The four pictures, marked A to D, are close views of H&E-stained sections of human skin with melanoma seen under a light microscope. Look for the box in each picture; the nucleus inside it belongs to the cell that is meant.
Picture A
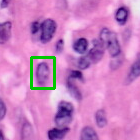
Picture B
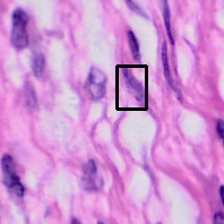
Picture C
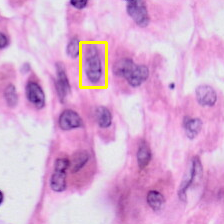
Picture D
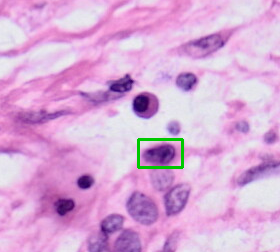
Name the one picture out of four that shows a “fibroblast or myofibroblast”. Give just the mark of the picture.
B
